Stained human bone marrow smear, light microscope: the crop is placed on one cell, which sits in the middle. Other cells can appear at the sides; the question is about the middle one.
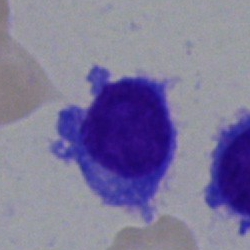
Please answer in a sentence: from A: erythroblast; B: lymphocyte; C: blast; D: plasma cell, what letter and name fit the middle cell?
Since the middle cell is a plasma cell, option D is the right one.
